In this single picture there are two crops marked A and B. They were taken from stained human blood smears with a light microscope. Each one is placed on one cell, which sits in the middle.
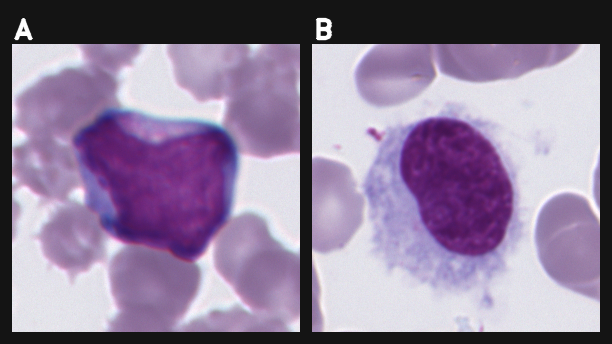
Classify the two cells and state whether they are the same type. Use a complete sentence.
No, a blast is shown in crop A and a hairy cell in crop B.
